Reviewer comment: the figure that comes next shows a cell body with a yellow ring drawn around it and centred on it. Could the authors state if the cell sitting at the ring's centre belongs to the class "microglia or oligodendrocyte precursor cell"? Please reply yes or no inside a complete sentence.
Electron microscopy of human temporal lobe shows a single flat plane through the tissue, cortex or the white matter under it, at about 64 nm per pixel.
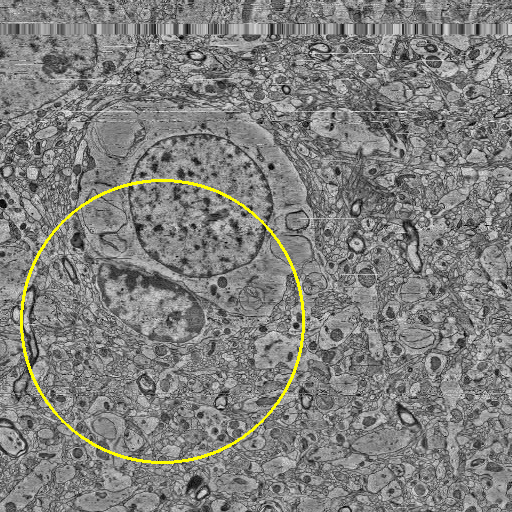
Yes, in the figure, the cell at the ring's centre belongs to that class.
